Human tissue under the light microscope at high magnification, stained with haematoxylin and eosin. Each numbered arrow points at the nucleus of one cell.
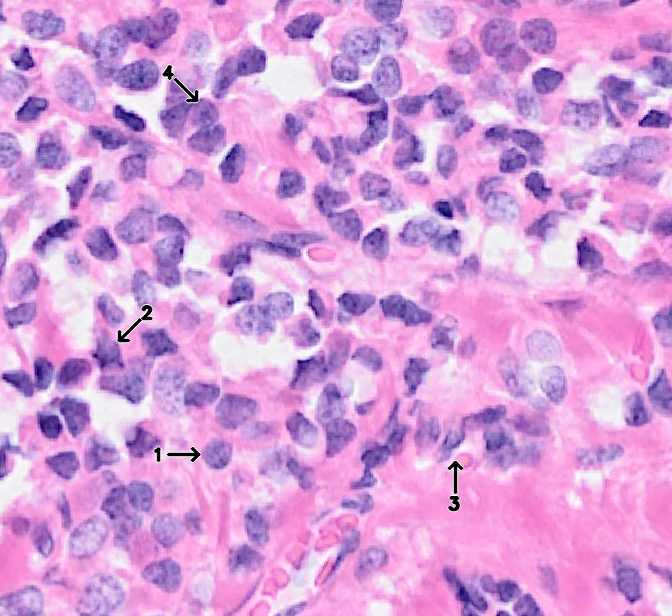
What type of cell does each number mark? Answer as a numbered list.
1. carcinoma cell
2. carcinoma cell
3. endothelial cell
4. carcinoma cell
